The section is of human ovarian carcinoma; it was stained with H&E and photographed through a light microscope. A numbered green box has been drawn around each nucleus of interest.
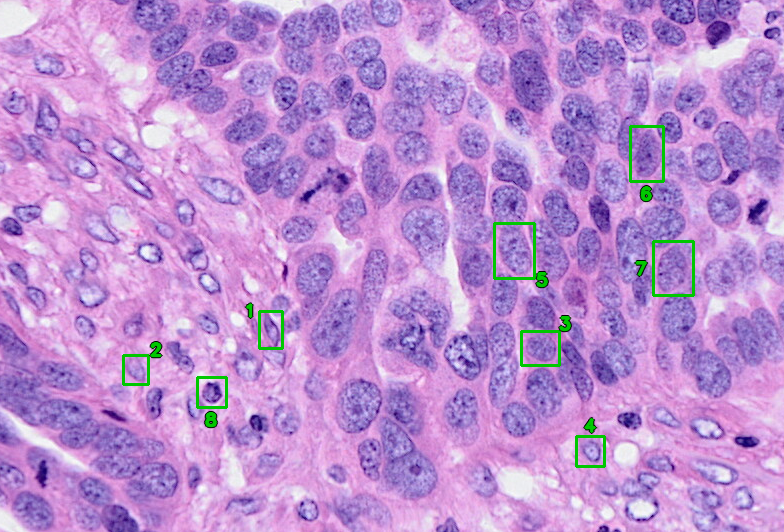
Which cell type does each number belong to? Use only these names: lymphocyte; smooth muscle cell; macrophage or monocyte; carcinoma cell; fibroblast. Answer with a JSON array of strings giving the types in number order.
["fibroblast", "fibroblast", "carcinoma cell", "fibroblast", "carcinoma cell", "carcinoma cell", "carcinoma cell", "lymphocyte"]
